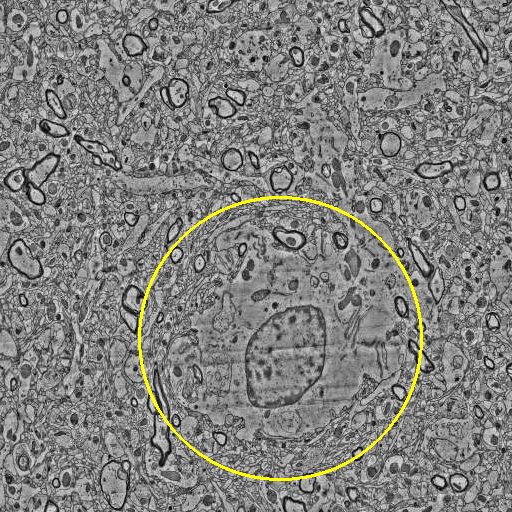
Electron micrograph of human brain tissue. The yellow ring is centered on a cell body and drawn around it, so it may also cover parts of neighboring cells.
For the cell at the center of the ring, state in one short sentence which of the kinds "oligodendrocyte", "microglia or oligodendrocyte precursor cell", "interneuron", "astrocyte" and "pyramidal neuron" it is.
This ring is centered on an astrocyte.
